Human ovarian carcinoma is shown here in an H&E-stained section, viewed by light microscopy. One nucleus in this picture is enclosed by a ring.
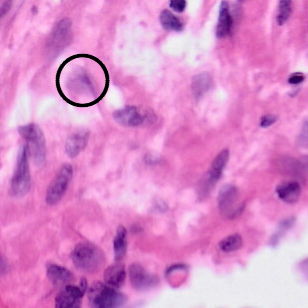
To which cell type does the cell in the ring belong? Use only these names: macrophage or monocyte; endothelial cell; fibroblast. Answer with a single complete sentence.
The cell type of the cell in the ring is that of a fibroblast.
